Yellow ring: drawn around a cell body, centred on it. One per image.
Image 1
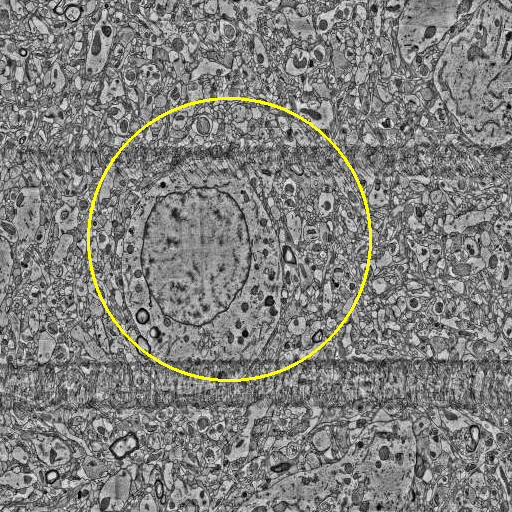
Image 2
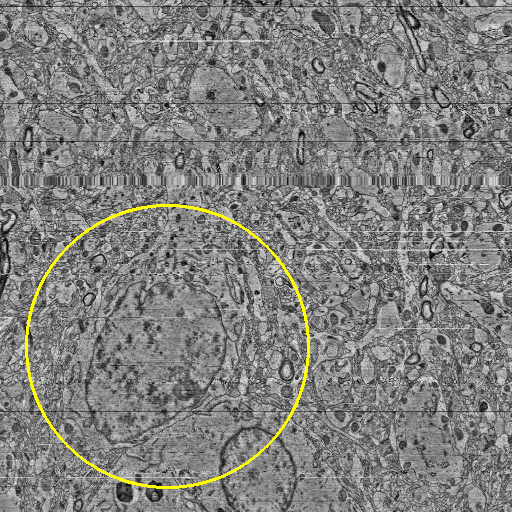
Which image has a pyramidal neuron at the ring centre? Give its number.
1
